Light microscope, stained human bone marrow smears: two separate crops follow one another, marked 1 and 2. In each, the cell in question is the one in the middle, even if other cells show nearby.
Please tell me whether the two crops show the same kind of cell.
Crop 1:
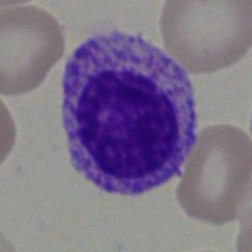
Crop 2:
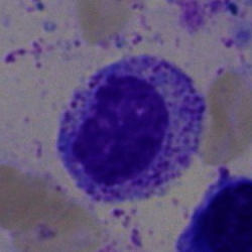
yes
